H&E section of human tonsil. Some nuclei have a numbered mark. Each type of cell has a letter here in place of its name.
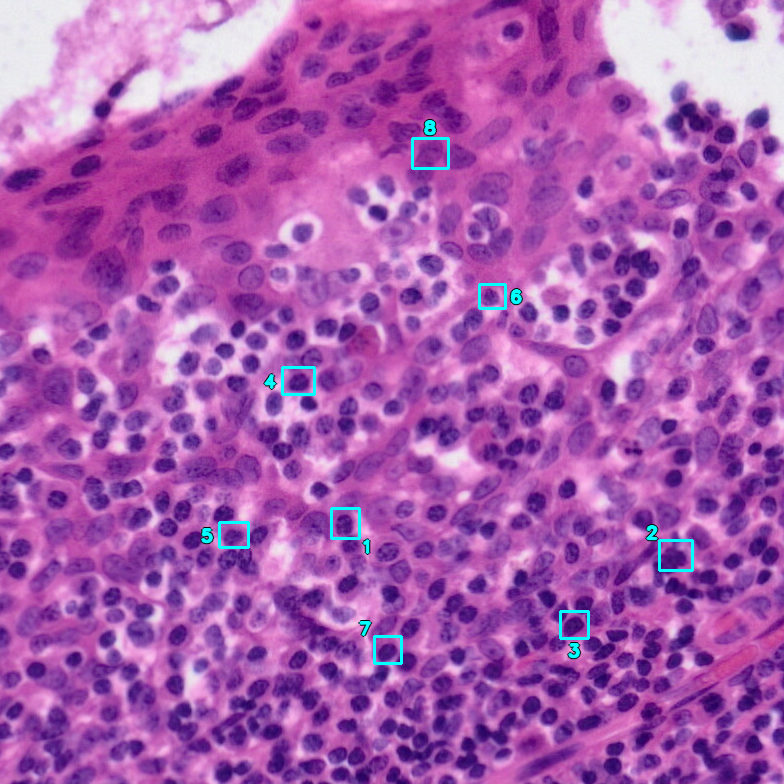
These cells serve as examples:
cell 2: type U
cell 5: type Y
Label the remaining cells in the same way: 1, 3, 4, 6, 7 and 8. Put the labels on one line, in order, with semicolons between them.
type Y; type Y; type Y; type U; type Y; type U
